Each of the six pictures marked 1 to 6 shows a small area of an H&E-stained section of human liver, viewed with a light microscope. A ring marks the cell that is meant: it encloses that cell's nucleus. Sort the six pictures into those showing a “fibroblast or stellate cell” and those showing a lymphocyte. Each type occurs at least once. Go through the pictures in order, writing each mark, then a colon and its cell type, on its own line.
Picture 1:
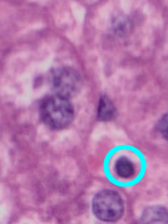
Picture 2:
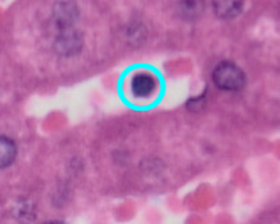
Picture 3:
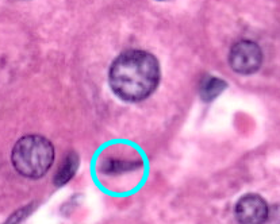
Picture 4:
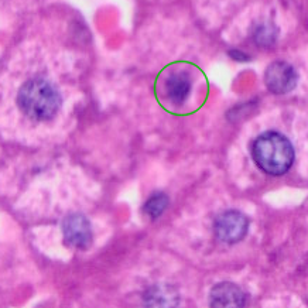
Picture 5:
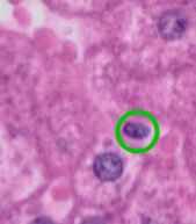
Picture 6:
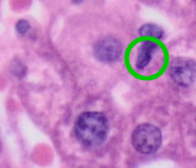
1: lymphocyte
2: lymphocyte
3: fibroblast or stellate cell
4: fibroblast or stellate cell
5: lymphocyte
6: fibroblast or stellate cell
